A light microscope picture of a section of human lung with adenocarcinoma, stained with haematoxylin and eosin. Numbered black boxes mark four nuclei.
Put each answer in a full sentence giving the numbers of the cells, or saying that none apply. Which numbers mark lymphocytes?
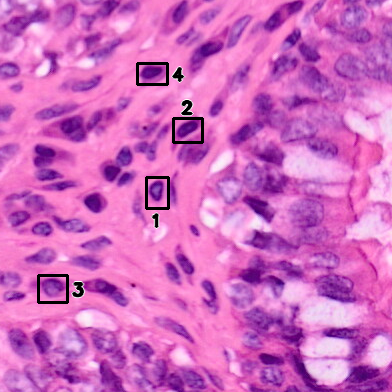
Across all the numbered cells, no lymphocytes are present.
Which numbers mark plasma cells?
Cells 2, 3 and 4 are recognised here as plasma cells.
